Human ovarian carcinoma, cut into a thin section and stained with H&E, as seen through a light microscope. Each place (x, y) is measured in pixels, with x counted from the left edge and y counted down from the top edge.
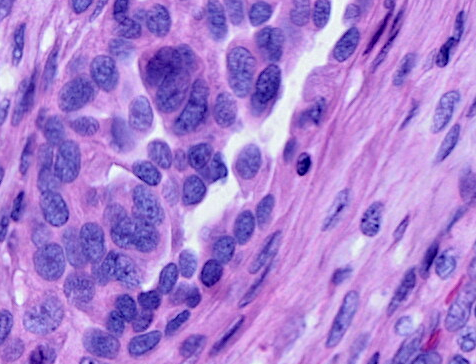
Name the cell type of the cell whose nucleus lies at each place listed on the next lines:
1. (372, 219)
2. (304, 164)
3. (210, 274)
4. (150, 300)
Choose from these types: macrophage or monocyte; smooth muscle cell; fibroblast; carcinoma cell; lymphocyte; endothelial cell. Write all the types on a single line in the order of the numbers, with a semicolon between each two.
macrophage or monocyte; lymphocyte; carcinoma cell; carcinoma cell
